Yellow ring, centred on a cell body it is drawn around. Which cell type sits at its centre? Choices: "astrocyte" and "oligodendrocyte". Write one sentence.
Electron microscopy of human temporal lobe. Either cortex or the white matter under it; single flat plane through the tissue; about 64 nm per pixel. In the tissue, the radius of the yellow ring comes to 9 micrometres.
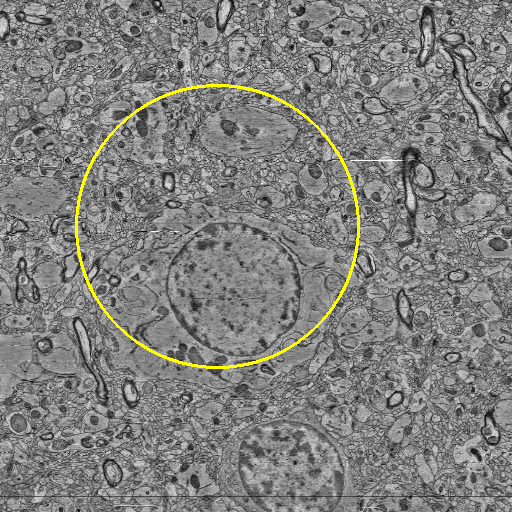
At the centre of the ring sits an astrocyte.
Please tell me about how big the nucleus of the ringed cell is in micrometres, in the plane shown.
The nucleus appears about 9 micrometres across in this plane.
